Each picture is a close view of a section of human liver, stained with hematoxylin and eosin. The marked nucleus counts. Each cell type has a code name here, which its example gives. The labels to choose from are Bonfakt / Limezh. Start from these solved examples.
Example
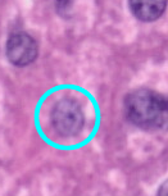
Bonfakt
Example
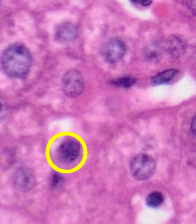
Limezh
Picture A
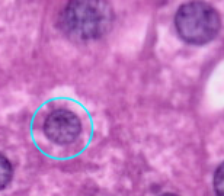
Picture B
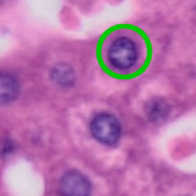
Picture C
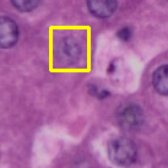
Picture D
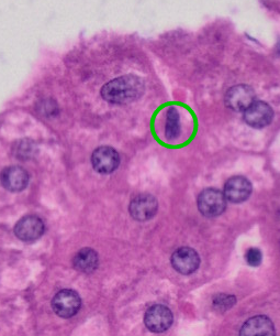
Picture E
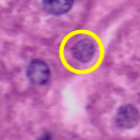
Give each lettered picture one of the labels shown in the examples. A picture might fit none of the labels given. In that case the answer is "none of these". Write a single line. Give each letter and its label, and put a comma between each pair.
A Bonfakt, B Bonfakt, C Bonfakt, D none of these, E Limezh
